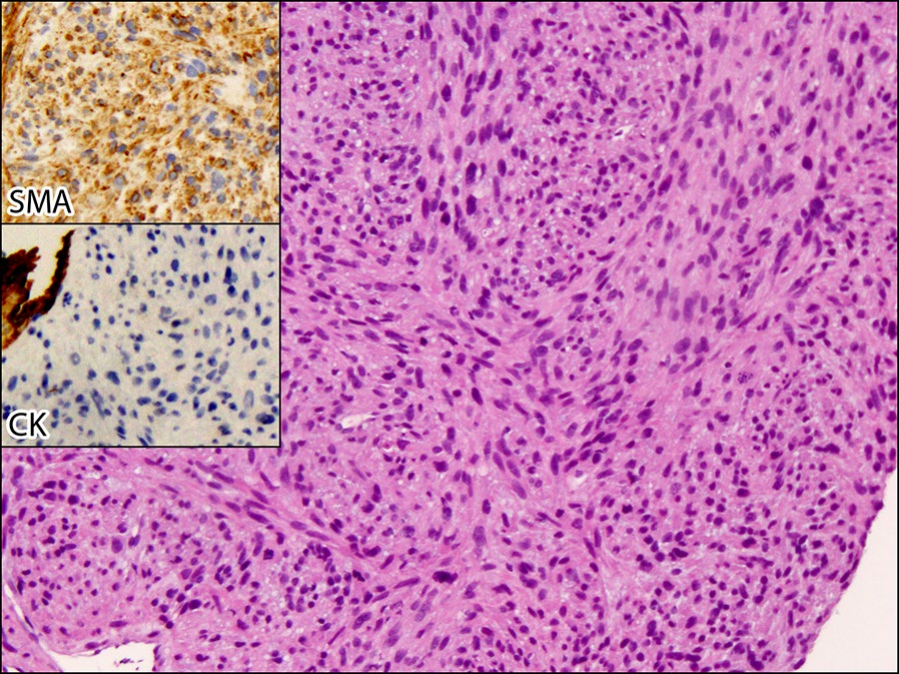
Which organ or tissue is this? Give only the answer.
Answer: Malignant smooth muscle fascicles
